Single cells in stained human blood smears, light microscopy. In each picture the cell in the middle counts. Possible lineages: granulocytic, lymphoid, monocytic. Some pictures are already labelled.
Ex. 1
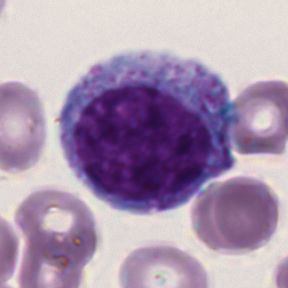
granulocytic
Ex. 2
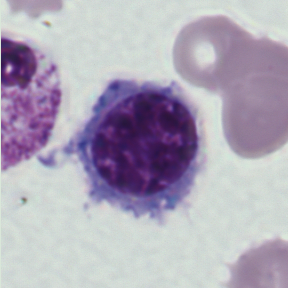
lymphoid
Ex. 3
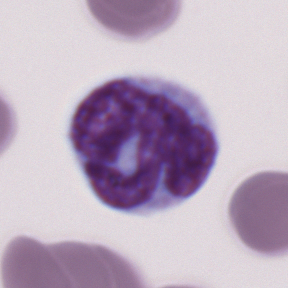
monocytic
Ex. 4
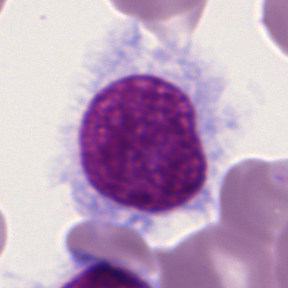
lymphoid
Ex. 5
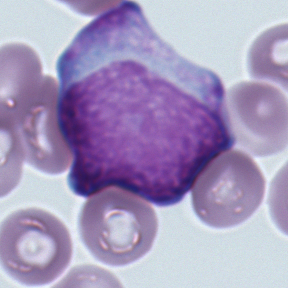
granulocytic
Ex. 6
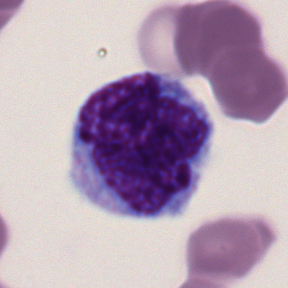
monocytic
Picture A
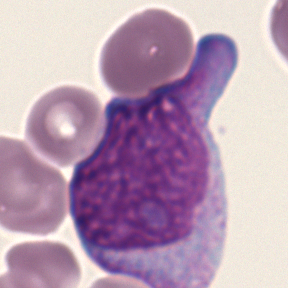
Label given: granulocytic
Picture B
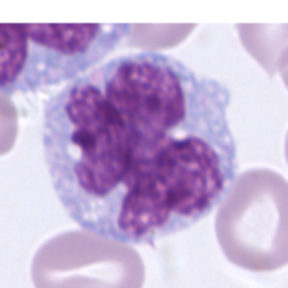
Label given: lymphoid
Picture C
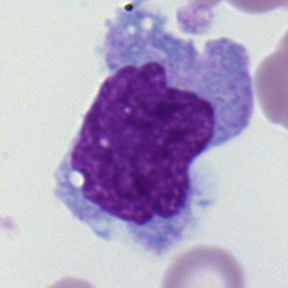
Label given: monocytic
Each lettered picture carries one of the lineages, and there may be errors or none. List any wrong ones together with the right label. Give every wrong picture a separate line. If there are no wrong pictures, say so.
Wrong: B (lymphoid); correct: monocytic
